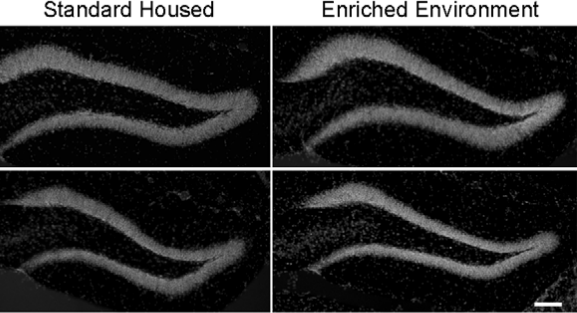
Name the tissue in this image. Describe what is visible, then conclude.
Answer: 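Each image shows a V-shaped band of densely packed nuclei with two blades joined at one end. Sparse scattered nuclei lie around and between the blades. That points to this answer: dentate gyrus.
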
